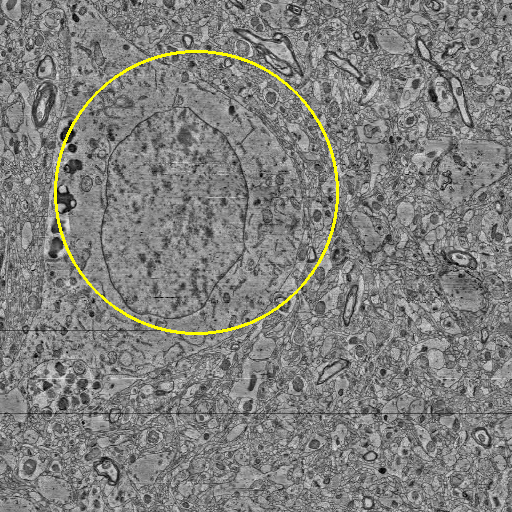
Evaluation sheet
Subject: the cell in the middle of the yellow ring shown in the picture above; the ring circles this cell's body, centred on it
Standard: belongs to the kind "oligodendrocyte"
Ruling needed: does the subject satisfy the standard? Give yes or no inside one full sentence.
No, the cell in the middle of the ring in the picture above belongs to some other kind.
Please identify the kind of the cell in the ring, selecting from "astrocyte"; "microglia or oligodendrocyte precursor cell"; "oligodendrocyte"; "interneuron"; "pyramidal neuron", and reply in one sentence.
Instead, the ring in this picture marks a pyramidal neuron.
